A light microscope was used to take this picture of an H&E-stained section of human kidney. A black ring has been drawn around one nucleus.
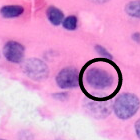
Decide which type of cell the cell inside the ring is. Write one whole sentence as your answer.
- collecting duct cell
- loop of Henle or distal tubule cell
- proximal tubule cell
Cell type answer for this item: the cell inside the ring is a collecting duct cell.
